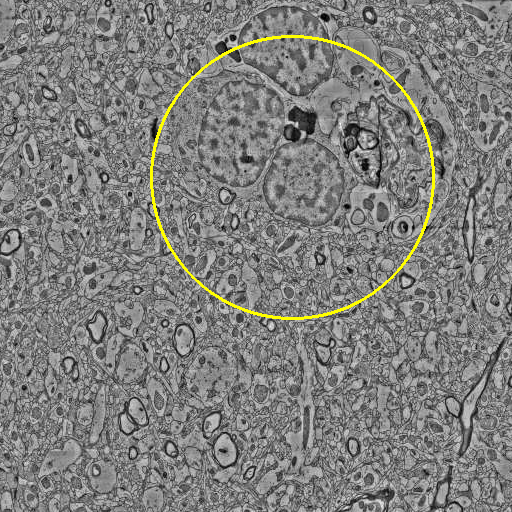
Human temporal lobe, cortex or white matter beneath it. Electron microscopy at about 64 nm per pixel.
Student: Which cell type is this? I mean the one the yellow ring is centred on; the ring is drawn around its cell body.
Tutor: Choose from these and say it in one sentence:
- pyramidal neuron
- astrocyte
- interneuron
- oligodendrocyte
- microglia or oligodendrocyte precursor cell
The cell the ring is centred on is an oligodendrocyte.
